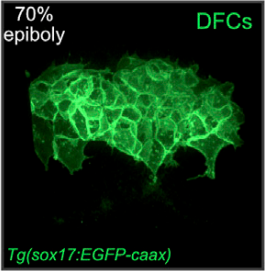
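The cluster forms a broad sheet that is wider than it is tall. Along its lower edge the outlines become irregular, with cells extending thin green protrusions outward from the cluster. The surrounding field outside the cluster is dark.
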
